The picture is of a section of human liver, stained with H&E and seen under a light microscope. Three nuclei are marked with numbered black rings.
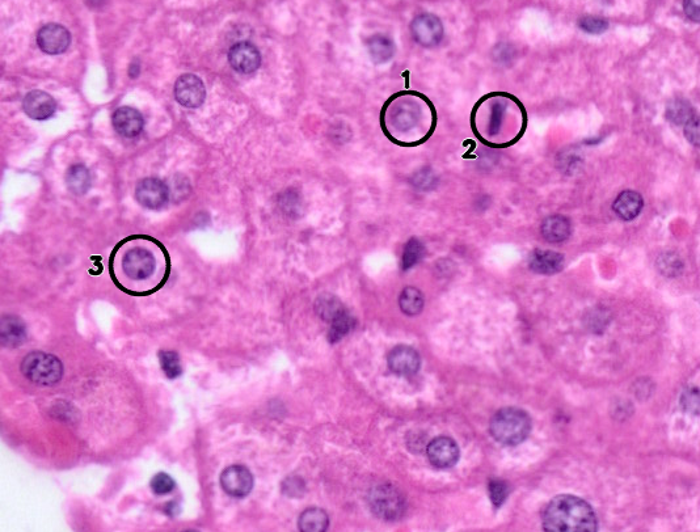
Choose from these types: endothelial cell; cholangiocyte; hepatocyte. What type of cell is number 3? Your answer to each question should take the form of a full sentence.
Recognised here as a hepatocyte is the cell numbered 3.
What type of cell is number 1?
Cell 1, as marked in the section, is a hepatocyte.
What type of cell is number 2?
The cell that is numbered 2 is an endothelial cell.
